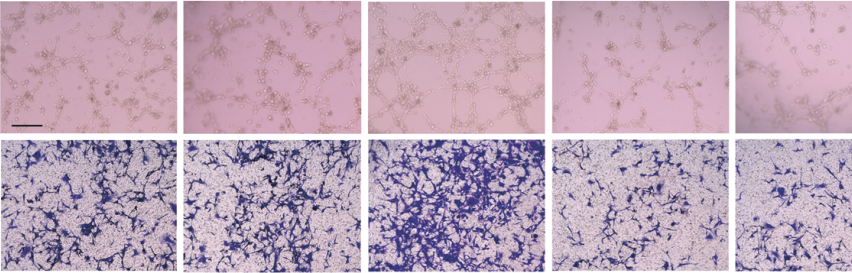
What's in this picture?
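In the upper row the cells are joined by thin elongated strands into polygonal networks of varying completeness. In the lower row migrated cells stained purple lie spread with irregular, branching outlines on a pale membrane dotted with small pores.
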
